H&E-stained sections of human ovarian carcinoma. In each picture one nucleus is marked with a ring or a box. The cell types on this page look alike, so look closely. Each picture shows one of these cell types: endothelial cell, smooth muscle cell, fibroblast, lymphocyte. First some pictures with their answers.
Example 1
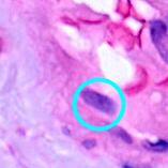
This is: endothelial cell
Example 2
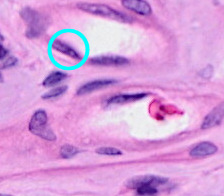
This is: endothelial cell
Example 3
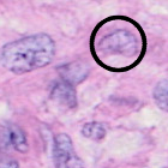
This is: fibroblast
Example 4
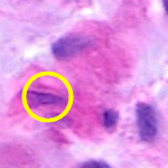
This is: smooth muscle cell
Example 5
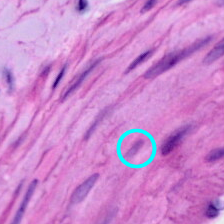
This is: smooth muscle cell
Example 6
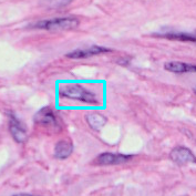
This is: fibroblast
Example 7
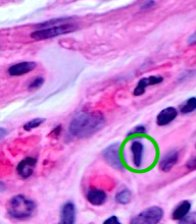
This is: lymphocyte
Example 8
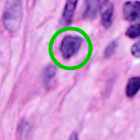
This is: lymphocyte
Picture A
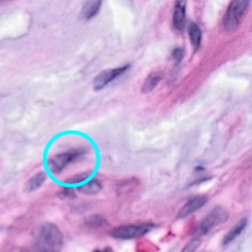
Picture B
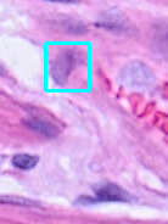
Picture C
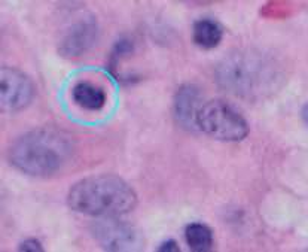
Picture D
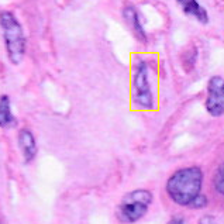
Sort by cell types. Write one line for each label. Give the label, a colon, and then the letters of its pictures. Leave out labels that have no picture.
endothelial cell: A, B
fibroblast: D
lymphocyte: C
